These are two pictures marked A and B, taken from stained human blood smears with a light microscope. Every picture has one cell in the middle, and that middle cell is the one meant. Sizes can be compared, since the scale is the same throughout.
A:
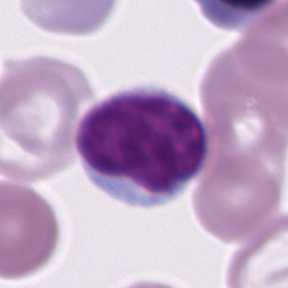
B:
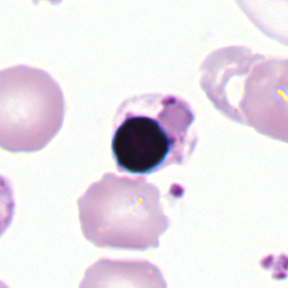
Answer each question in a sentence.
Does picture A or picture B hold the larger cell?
The cell in picture A is larger, with about 2.5 times the area of the one in picture B.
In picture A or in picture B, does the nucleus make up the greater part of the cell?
Of the two, the nucleus in picture A makes up the greater part of its cell.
